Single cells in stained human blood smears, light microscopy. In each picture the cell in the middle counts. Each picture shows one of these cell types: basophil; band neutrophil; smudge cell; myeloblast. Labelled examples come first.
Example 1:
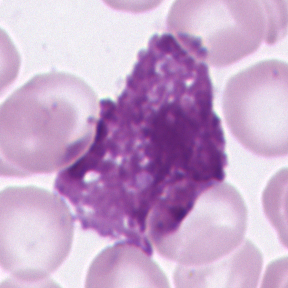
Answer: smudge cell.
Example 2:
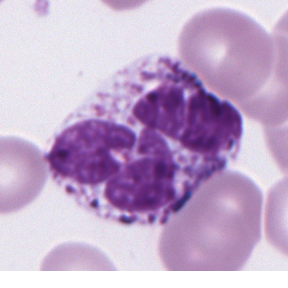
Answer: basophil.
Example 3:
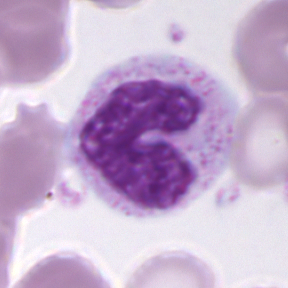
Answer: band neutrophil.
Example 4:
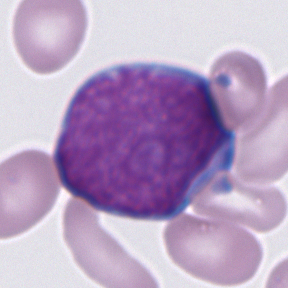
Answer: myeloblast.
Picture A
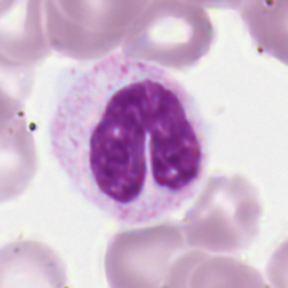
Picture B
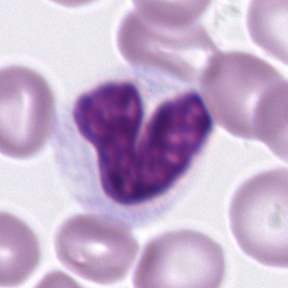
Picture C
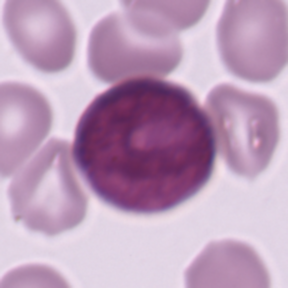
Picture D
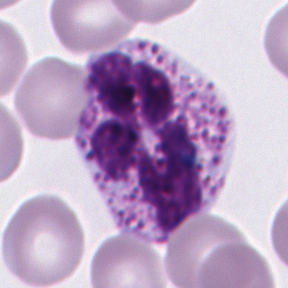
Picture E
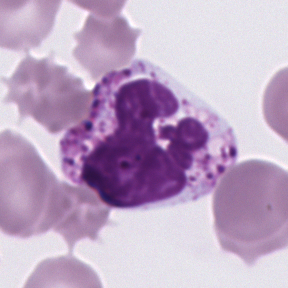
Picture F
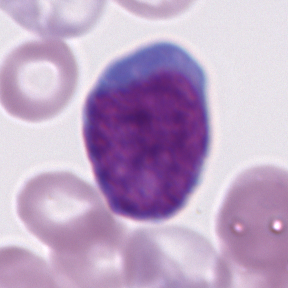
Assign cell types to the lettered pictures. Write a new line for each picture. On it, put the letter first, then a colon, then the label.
A: band neutrophil.
B: band neutrophil.
C: myeloblast.
D: basophil.
E: basophil.
F: myeloblast.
